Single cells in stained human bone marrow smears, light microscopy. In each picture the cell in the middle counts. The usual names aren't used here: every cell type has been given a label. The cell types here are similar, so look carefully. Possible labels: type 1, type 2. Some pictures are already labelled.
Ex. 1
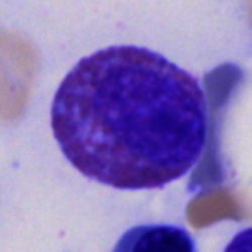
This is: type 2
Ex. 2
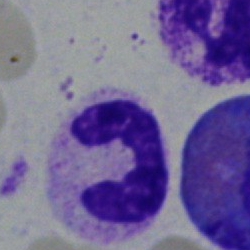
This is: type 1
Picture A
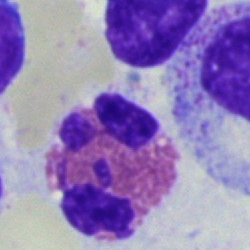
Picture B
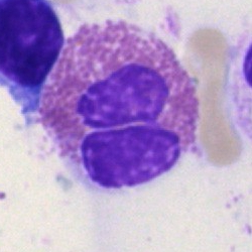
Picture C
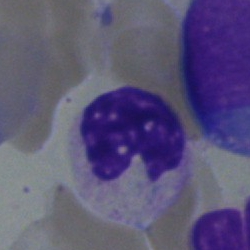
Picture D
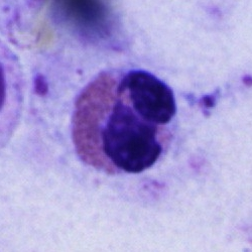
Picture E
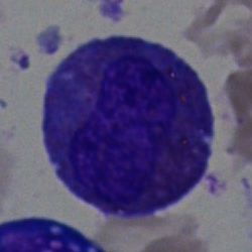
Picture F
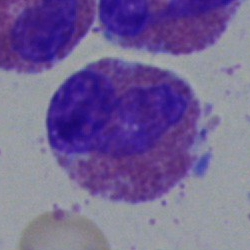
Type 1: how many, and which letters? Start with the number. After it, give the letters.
1: C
